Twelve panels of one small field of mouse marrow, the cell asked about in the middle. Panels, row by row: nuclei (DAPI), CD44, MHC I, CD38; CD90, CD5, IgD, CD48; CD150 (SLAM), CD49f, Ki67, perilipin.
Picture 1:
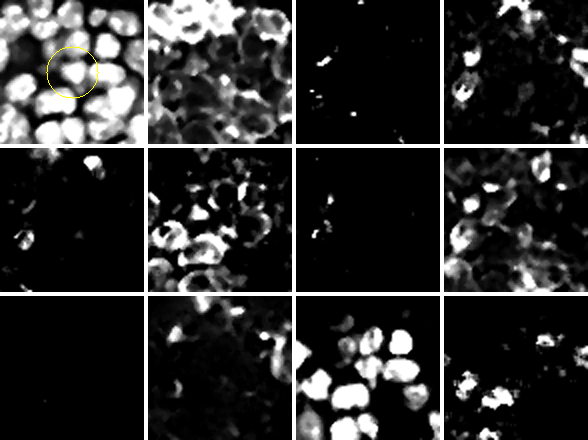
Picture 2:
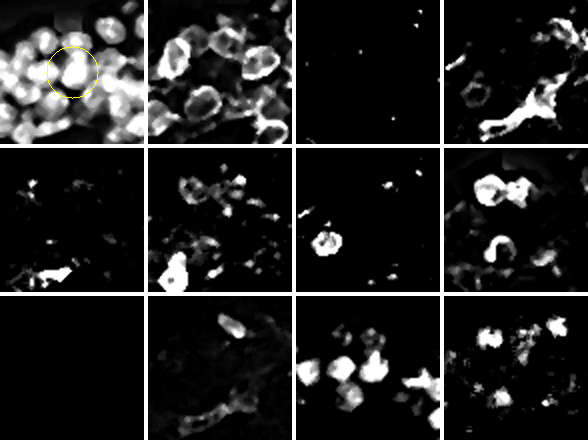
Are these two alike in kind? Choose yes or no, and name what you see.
Yes. Erythroblasts.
